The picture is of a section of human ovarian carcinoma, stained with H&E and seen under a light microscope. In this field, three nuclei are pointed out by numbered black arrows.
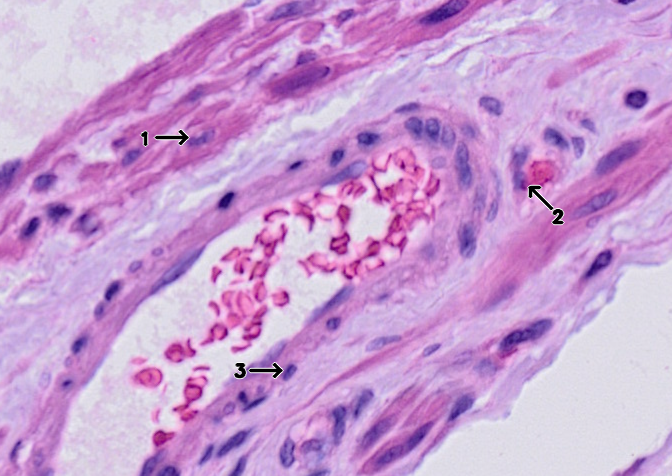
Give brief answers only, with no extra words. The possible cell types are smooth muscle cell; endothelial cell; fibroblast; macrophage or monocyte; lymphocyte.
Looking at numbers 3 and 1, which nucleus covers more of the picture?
1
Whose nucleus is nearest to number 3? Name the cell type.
endothelial cell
